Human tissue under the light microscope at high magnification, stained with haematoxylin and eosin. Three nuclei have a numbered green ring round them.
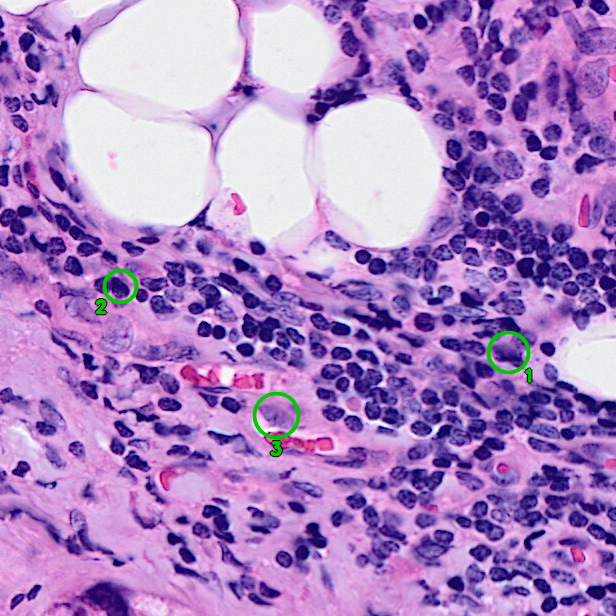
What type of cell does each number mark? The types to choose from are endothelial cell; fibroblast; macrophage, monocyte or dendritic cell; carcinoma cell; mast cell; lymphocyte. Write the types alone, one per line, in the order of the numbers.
lymphocyte
lymphocyte
endothelial cell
